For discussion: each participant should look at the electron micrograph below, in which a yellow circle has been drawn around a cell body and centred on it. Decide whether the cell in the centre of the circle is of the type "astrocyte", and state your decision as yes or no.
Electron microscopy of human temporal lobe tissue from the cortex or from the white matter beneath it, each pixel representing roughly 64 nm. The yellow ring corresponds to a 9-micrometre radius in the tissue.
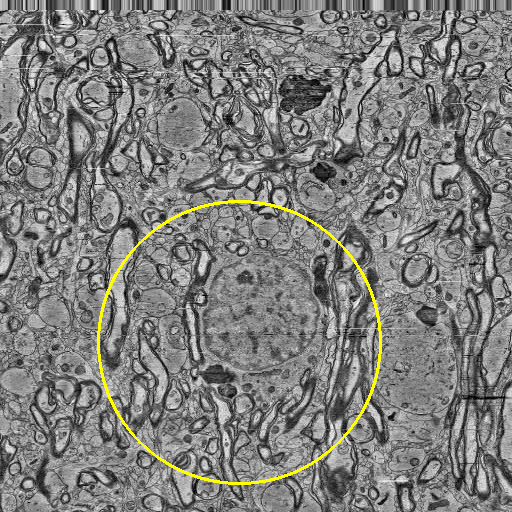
no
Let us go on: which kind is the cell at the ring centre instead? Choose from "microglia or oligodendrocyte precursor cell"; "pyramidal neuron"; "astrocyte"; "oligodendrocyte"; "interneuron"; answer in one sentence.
Sitting at the ring centre is an oligodendrocyte.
